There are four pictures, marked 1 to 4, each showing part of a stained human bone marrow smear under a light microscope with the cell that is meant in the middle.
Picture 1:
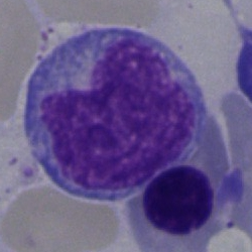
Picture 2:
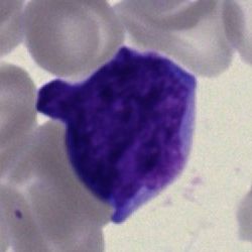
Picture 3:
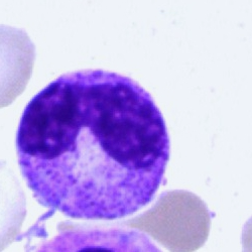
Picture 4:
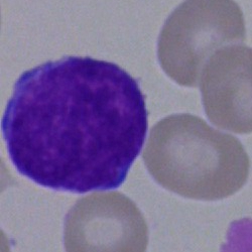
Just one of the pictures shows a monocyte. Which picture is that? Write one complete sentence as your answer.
It is picture 1 that shows the monocyte.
